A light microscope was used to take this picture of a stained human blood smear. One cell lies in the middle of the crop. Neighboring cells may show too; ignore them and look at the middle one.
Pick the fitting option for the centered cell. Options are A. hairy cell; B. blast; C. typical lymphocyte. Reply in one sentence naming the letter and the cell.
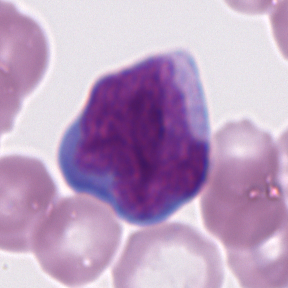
Option B gives the correct identity of the central cell, namely a blast.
